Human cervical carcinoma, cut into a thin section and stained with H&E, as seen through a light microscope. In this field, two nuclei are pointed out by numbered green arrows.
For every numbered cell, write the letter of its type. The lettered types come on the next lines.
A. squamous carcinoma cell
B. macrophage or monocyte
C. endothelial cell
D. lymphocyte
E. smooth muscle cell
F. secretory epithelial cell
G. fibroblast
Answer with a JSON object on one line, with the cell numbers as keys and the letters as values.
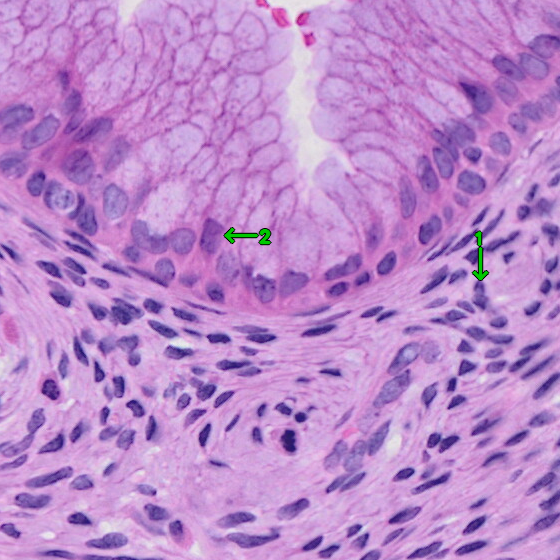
{"1": "G", "2": "F"}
